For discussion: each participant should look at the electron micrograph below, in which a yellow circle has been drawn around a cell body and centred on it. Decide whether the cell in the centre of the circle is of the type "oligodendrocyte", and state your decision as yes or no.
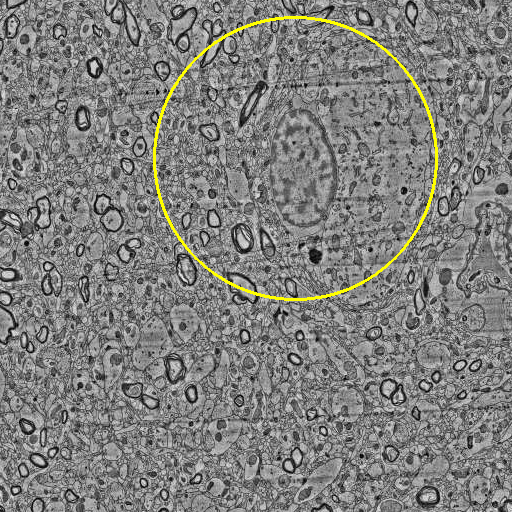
yes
